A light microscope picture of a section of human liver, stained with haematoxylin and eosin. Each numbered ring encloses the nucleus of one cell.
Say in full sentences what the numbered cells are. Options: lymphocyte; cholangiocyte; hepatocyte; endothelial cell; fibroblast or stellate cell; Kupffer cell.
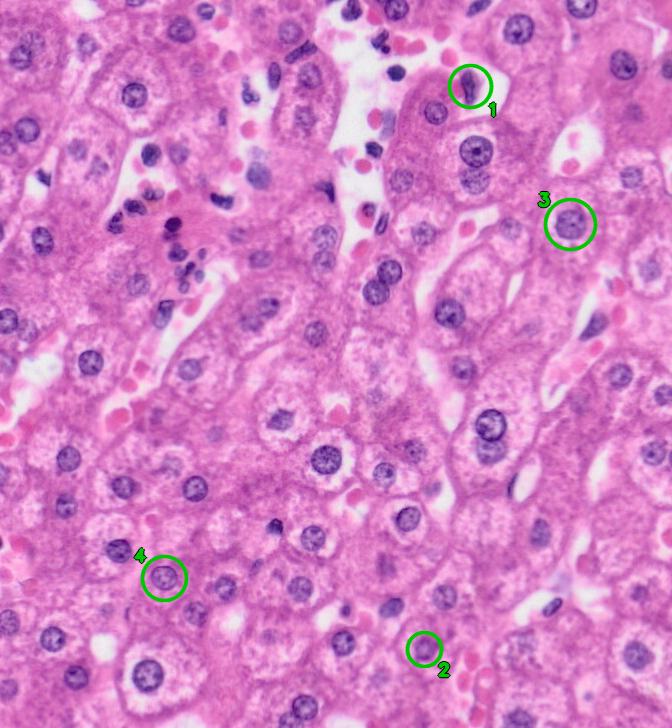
Cell 1 is a Kupffer cell, cell 2 is a hepatocyte, cell 3 is a hepatocyte and cell 4 is a hepatocyte.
